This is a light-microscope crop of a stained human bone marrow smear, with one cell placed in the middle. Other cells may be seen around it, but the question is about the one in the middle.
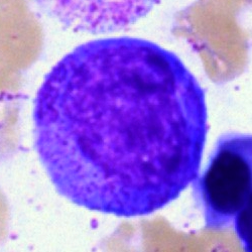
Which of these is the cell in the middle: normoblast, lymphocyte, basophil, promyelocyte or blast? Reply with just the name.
promyelocyte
